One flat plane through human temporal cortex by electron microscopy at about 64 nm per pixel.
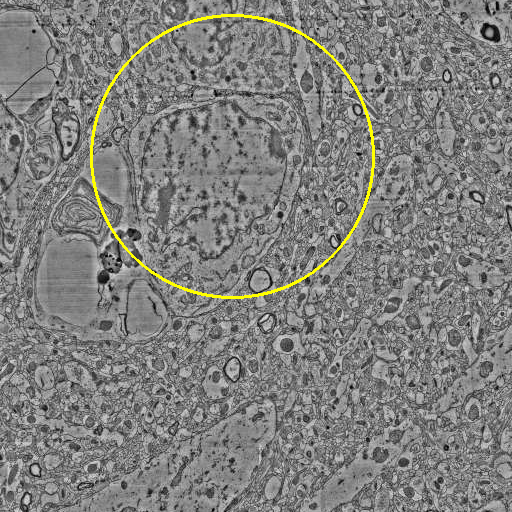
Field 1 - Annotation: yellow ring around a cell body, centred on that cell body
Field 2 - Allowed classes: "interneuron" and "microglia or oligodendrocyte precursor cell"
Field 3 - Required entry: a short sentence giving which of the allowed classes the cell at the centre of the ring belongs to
The centred cell is an interneuron.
